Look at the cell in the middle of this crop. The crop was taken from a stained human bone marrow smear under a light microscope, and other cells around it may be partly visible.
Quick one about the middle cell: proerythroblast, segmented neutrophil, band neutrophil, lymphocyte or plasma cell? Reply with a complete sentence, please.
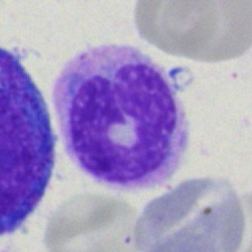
Here the centrally located cell is a band neutrophil.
